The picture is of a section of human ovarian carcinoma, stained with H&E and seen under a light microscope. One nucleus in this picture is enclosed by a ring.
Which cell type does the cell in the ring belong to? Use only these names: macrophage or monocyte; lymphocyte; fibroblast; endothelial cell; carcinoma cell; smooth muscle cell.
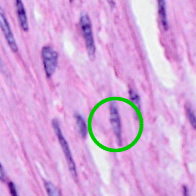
fibroblast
